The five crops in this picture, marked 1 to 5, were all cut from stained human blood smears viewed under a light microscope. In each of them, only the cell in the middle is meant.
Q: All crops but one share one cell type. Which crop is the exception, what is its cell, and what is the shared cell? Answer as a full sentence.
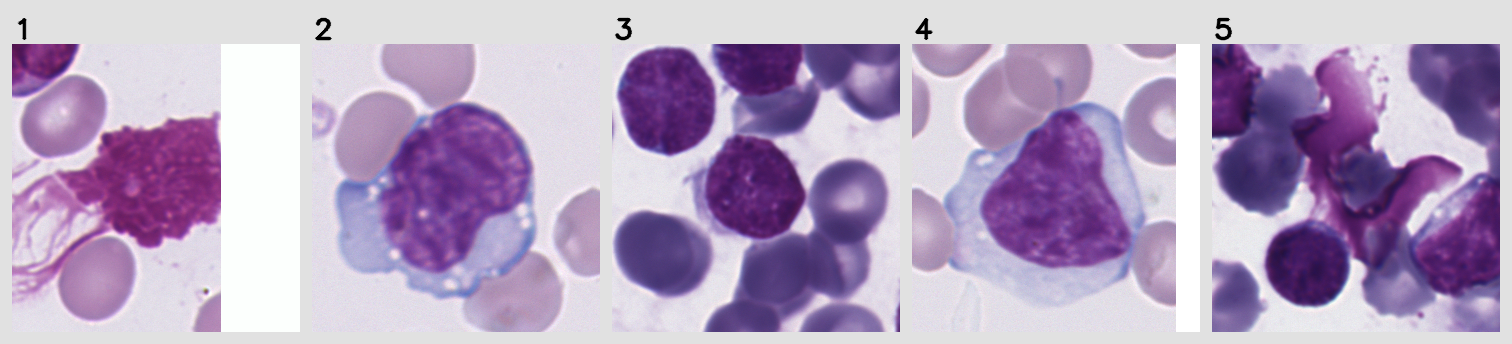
Differing from the rest, crop 1 shows a smudge cell; the others all show myeloblasts.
